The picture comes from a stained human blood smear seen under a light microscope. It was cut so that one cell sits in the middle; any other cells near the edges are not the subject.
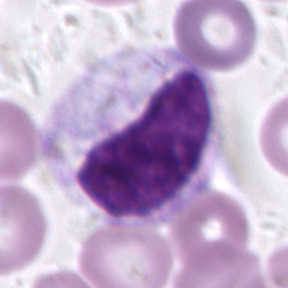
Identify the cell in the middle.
metamyelocyte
